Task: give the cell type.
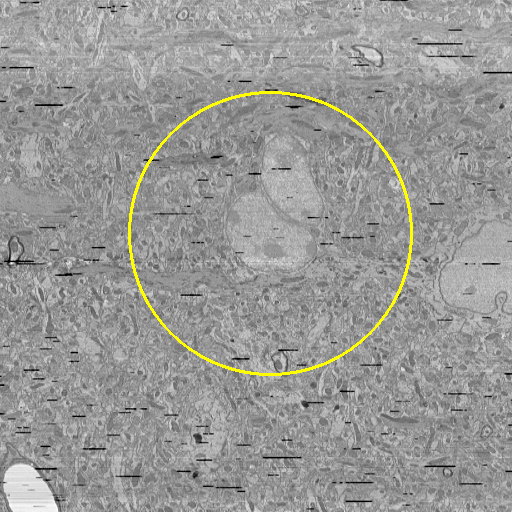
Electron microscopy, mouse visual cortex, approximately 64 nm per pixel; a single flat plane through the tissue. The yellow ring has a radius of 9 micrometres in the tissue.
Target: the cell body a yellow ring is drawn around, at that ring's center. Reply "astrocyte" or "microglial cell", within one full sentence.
In this picture, the cell whose body lies at the ring's center is an astrocyte.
